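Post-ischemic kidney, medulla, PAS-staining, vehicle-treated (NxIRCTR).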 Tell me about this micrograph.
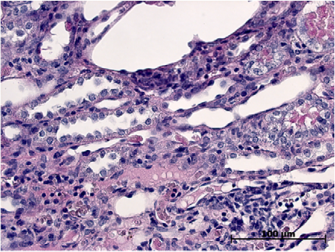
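Many tubules have wide, empty lumens lined by a low, flattened epithelium. The infiltrating cells gather in dense bands and clusters, especially in the lower half of the field. A large dilated space runs across the top of the field.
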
